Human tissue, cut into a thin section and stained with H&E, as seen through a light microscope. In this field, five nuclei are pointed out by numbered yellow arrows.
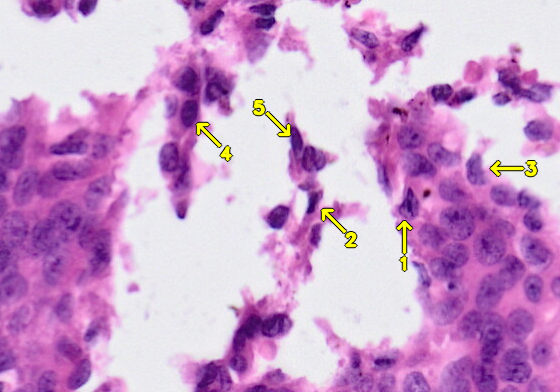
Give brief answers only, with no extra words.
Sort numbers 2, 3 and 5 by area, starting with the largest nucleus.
3, 5, 2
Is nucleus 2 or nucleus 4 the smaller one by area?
2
